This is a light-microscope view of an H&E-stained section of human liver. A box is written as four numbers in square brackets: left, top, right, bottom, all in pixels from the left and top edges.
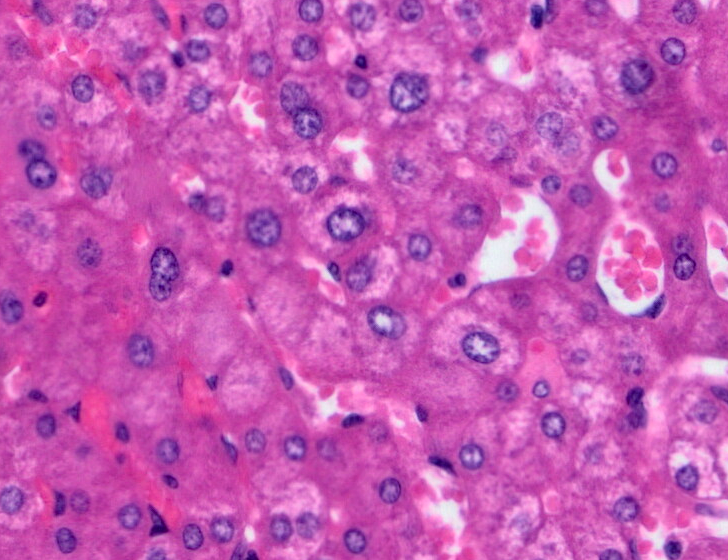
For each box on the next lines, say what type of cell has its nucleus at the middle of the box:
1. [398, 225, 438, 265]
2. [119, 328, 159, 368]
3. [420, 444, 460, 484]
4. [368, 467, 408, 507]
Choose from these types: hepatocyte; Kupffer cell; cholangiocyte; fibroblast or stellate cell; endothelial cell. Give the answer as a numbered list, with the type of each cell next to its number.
1. hepatocyte
2. hepatocyte
3. fibroblast or stellate cell
4. hepatocyte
